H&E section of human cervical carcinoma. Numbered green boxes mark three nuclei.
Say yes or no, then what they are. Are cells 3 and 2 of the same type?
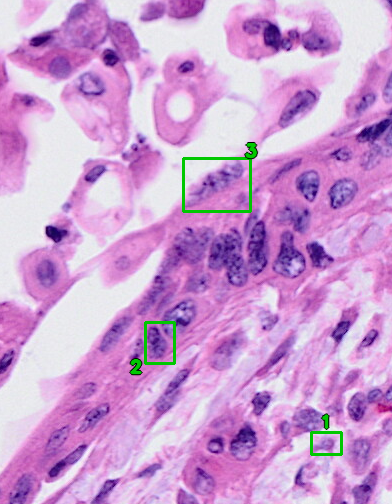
Yes, the two numbered cells, 3 and 2, are both squamous carcinoma cells.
